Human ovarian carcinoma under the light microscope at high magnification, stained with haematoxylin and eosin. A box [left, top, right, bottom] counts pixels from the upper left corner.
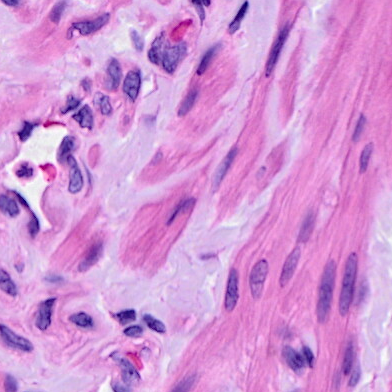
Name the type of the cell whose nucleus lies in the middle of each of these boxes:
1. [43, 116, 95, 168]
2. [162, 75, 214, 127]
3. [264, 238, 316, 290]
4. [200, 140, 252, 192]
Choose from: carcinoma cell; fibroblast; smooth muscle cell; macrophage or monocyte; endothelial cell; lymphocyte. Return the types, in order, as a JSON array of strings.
["endothelial cell", "smooth muscle cell", "smooth muscle cell", "smooth muscle cell"]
